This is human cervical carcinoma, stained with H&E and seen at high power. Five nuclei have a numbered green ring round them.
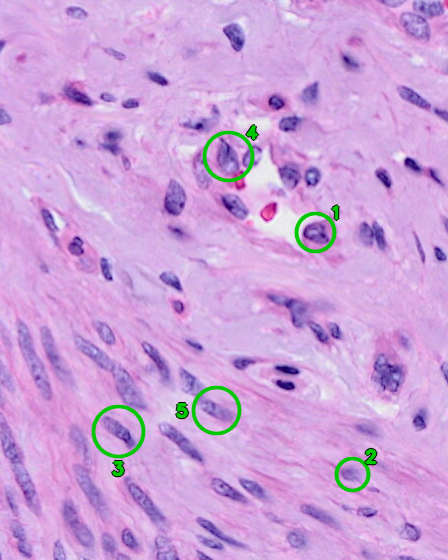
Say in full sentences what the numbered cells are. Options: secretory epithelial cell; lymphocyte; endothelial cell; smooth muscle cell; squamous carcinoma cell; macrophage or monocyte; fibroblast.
Cell 1 is an endothelial cell, cell 2 is a smooth muscle cell, cell 3 is a smooth muscle cell, cell 4 is an endothelial cell and cell 5 is a smooth muscle cell.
